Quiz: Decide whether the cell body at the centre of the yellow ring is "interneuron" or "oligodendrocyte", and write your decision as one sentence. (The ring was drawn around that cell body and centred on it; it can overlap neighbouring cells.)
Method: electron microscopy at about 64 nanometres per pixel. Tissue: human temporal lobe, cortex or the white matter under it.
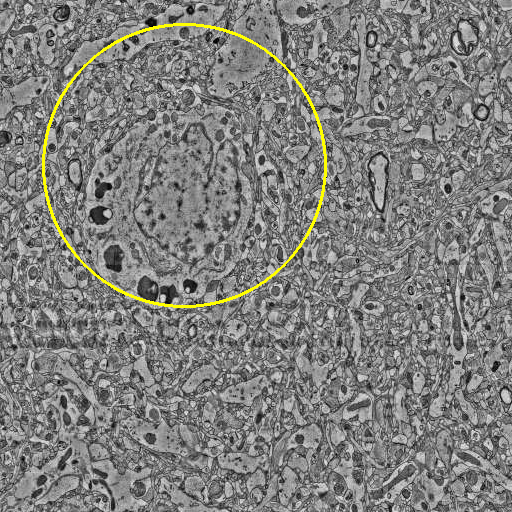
The cell the ring is centred on is an interneuron.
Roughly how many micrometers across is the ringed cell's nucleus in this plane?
The nucleus comes to roughly 8 by 7 micrometres in this plane.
